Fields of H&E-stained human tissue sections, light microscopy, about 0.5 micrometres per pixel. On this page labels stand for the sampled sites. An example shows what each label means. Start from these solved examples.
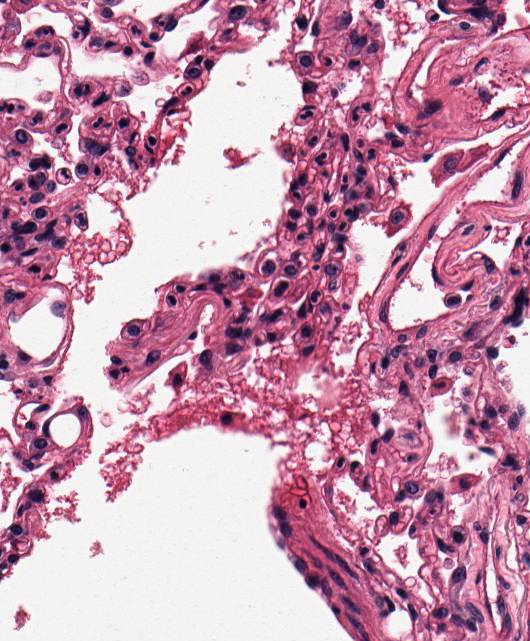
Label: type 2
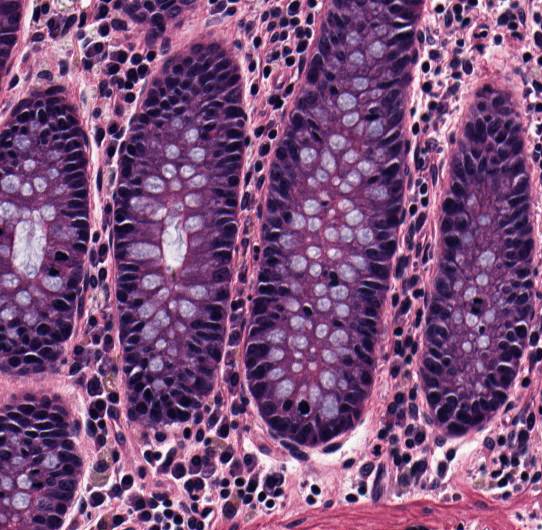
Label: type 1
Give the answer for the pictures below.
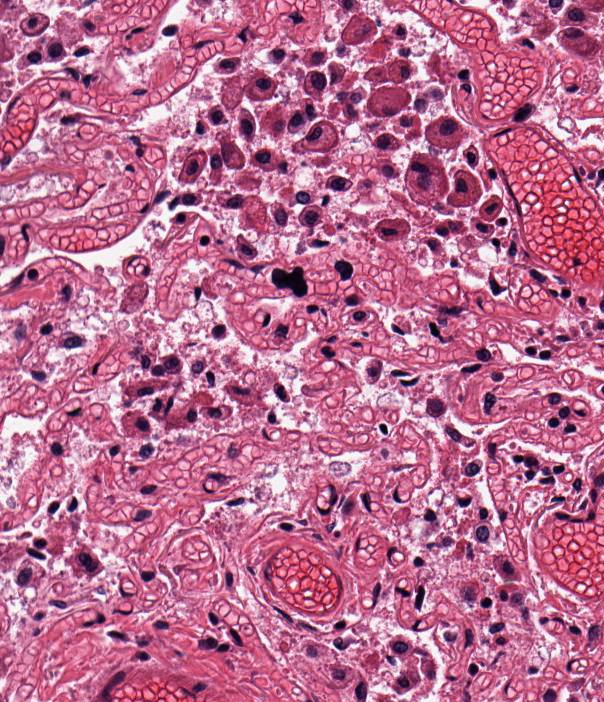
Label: type 2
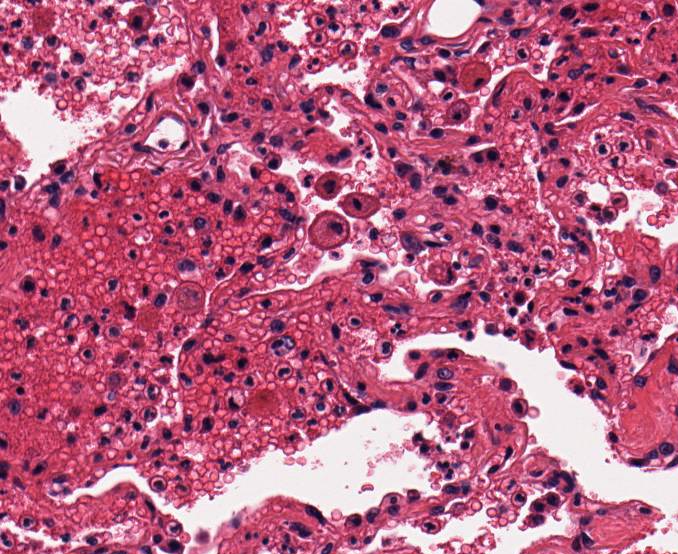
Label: type 2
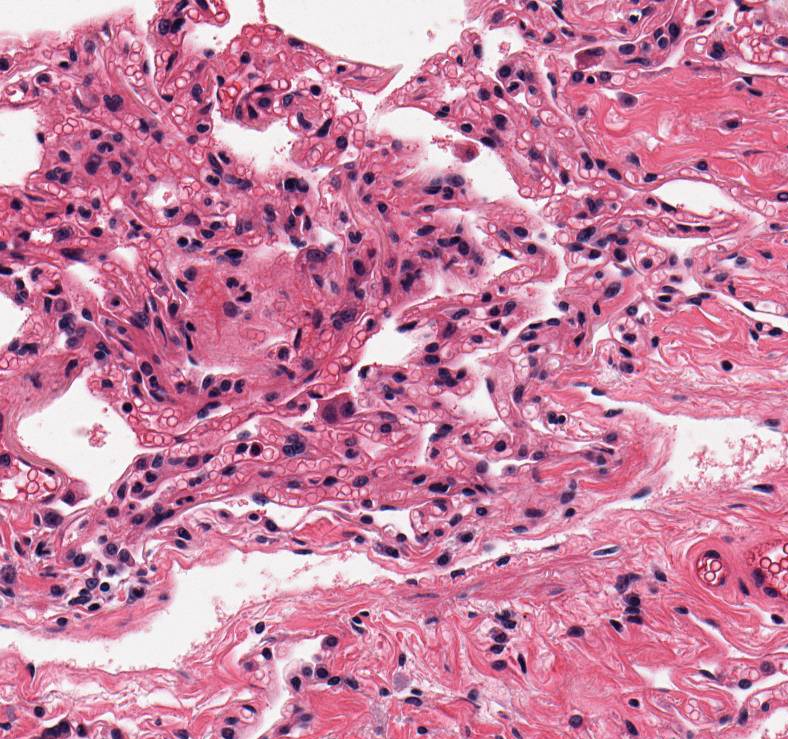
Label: type 2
